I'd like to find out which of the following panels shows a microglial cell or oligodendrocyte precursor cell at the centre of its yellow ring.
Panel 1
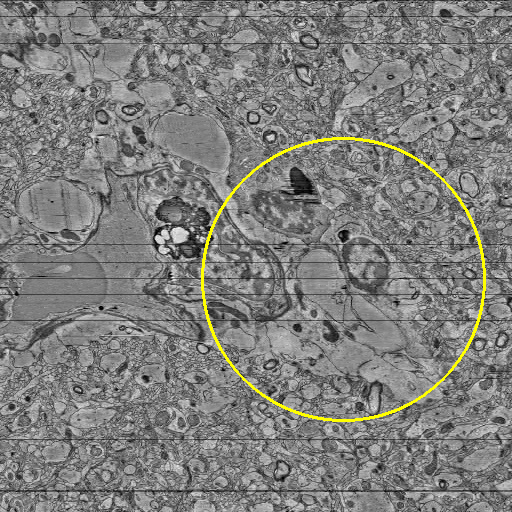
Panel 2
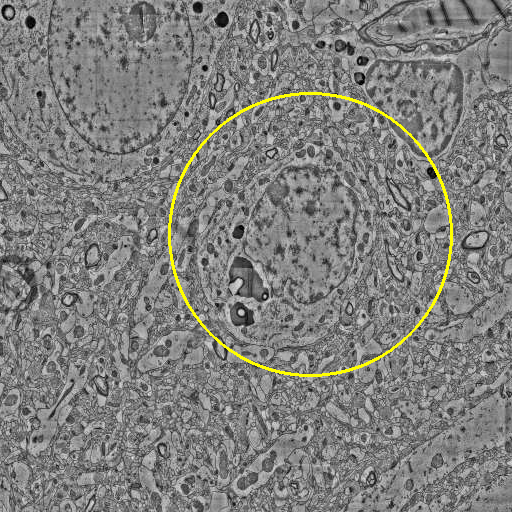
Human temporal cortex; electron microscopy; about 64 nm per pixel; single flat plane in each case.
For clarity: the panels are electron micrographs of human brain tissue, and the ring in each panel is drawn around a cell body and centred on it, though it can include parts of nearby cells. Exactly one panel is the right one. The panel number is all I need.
1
